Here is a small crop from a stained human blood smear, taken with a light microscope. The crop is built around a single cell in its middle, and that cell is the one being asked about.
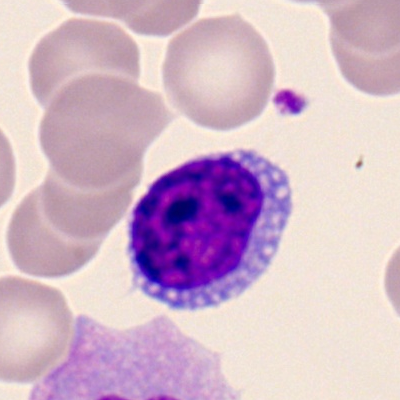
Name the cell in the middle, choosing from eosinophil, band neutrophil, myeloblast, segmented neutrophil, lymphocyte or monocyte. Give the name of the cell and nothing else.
lymphocyte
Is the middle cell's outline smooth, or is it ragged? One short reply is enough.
Along the periphery, ragged stretches or projections make the outline irregular.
